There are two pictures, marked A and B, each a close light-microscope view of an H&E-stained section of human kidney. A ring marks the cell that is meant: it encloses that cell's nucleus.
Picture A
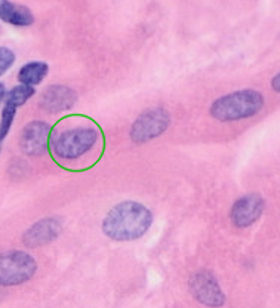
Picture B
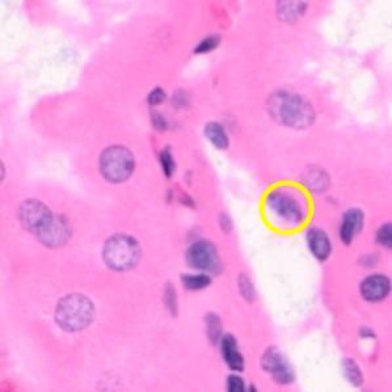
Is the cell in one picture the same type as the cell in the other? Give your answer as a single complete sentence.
No; the cell in picture A is a proximal tubule cell, while the one in picture B is a “loop of Henle or distal tubule cell”.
